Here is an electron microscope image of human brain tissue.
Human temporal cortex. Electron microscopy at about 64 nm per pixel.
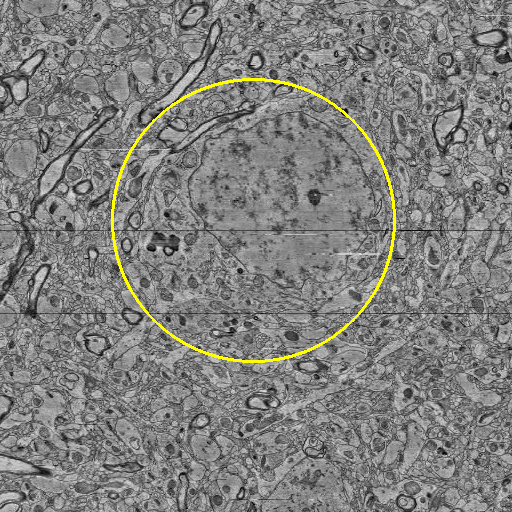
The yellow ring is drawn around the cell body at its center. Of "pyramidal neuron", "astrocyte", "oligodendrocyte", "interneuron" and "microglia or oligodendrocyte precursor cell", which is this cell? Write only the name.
pyramidal neuron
